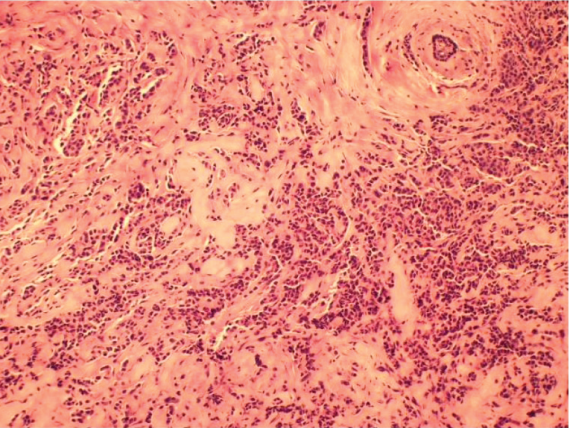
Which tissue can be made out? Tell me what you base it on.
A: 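Pale pink, dense fibrous matrix fills the spaces between cell groups. Dark-nucleated cells lie in sheets, cords and small clusters within the pink matrix. The answer: desmoplastic stroma.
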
